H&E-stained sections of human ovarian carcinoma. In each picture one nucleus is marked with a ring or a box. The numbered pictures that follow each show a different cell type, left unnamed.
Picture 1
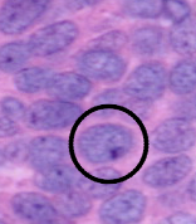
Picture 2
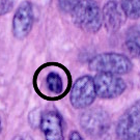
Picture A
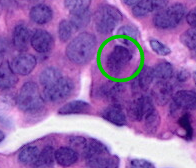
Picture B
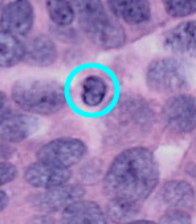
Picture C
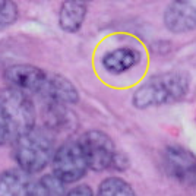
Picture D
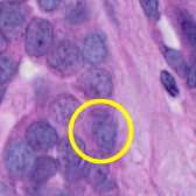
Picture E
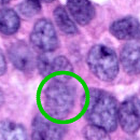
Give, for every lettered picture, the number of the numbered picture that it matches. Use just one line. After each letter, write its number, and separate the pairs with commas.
A 1, B 2, C 2, D 1, E 1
